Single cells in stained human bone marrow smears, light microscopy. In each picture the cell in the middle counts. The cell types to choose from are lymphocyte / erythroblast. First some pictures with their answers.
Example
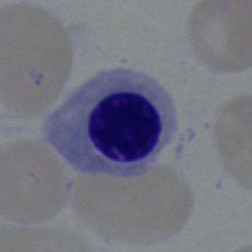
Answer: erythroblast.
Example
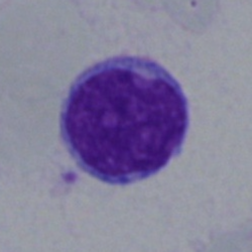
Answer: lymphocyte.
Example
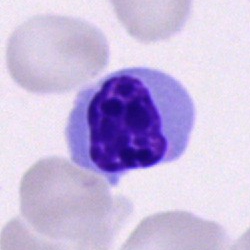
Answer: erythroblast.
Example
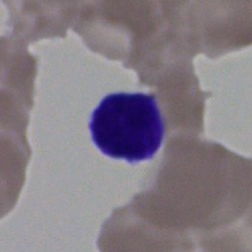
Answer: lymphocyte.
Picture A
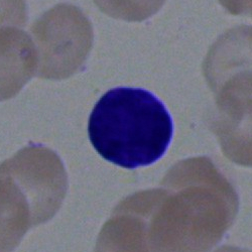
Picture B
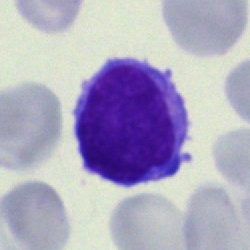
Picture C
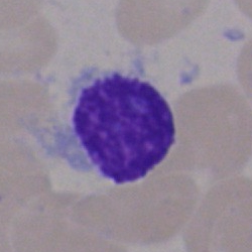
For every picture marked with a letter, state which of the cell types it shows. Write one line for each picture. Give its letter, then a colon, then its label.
A: lymphocyte.
B: lymphocyte.
C: lymphocyte.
